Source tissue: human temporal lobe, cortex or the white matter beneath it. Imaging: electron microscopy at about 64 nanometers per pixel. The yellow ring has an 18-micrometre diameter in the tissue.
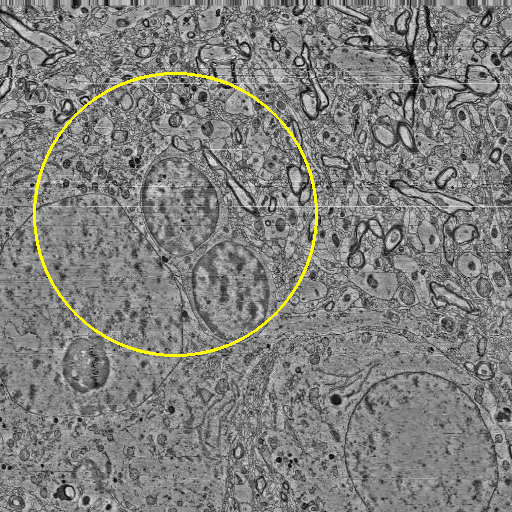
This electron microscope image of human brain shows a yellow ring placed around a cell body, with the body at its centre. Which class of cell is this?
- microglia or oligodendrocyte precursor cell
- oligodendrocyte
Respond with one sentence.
The cell body at the ring's centre is an oligodendrocyte.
